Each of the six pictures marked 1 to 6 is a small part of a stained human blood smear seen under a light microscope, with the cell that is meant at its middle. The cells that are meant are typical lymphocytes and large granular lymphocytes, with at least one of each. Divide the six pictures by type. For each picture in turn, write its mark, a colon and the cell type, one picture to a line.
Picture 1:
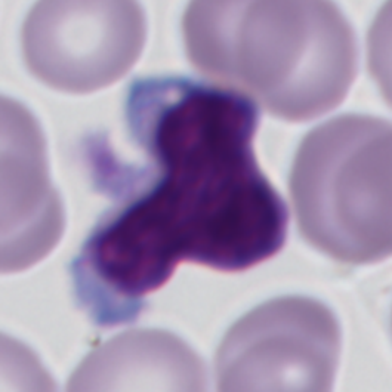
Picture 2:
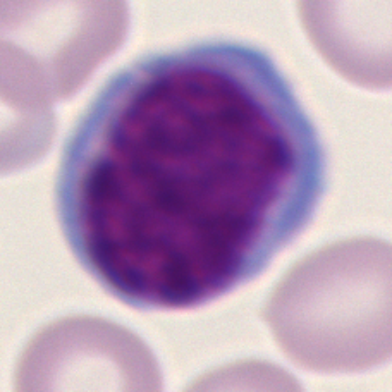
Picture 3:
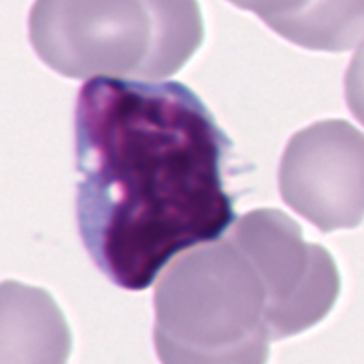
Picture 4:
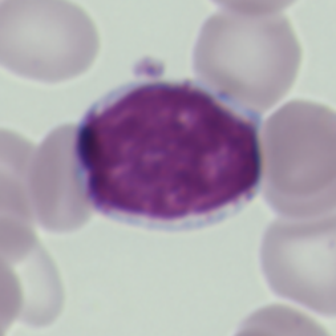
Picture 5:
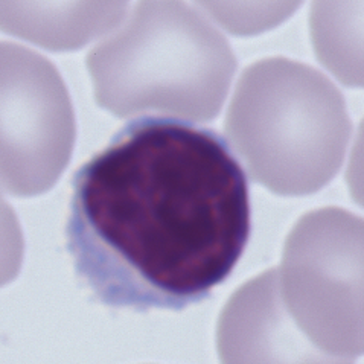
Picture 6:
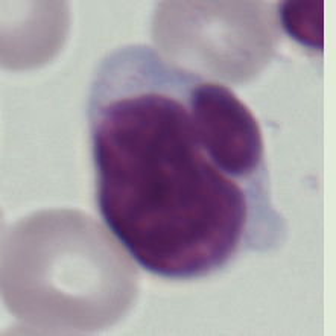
1: typical lymphocyte
2: typical lymphocyte
3: typical lymphocyte
4: large granular lymphocyte
5: typical lymphocyte
6: large granular lymphocyte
